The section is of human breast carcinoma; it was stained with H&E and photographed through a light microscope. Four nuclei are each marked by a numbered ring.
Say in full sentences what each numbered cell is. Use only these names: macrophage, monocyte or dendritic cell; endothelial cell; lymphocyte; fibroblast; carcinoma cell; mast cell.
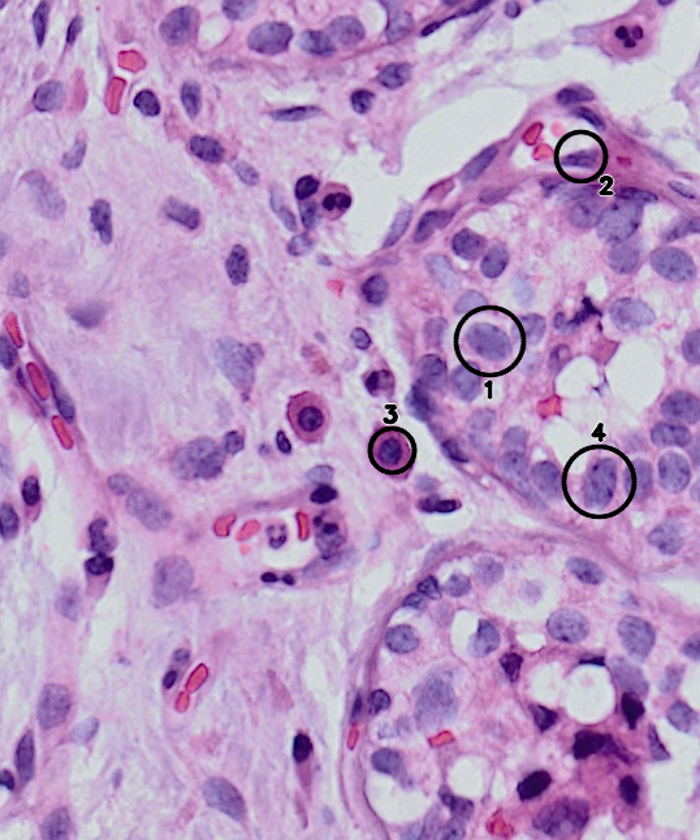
Cell 1 is a carcinoma cell, cell 2 is an endothelial cell, cell 3 is a mast cell and cell 4 is a carcinoma cell.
